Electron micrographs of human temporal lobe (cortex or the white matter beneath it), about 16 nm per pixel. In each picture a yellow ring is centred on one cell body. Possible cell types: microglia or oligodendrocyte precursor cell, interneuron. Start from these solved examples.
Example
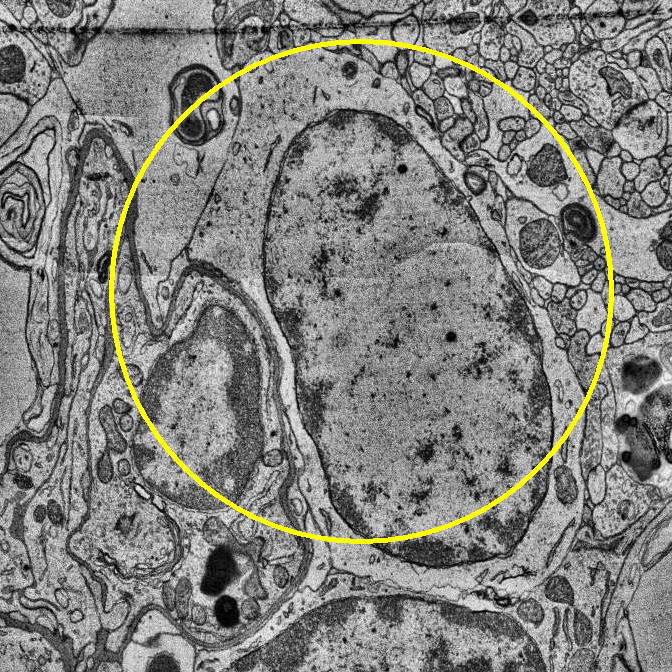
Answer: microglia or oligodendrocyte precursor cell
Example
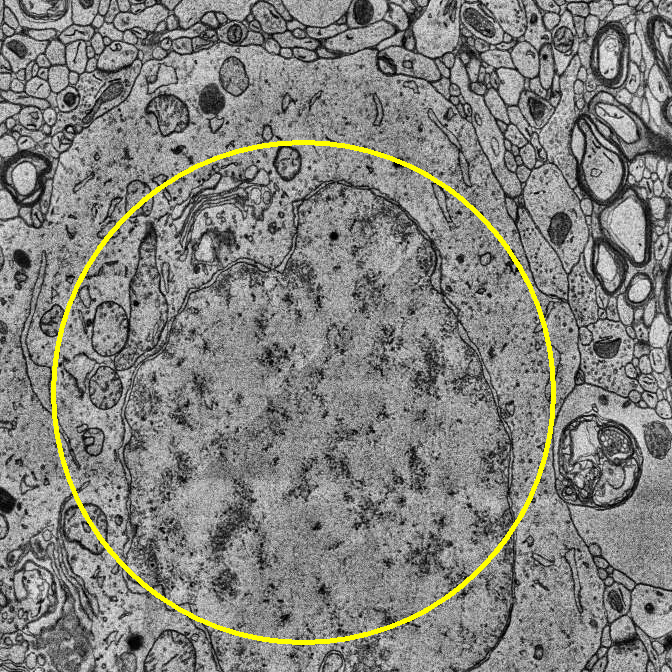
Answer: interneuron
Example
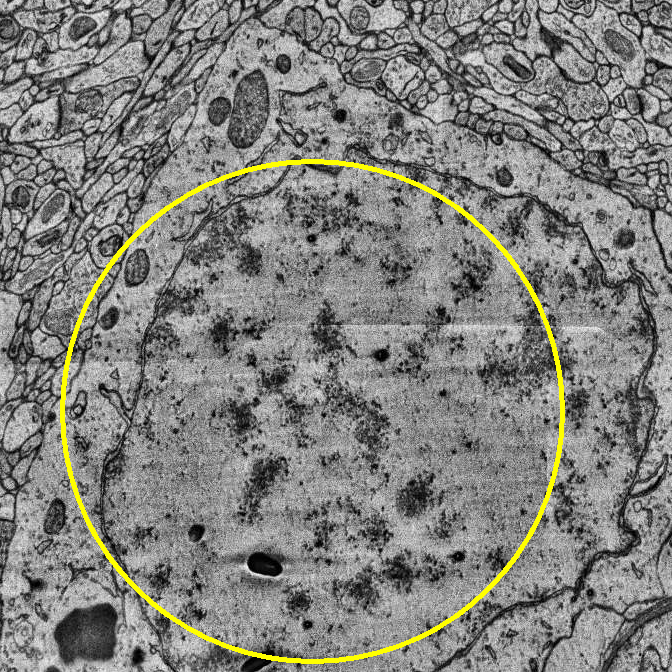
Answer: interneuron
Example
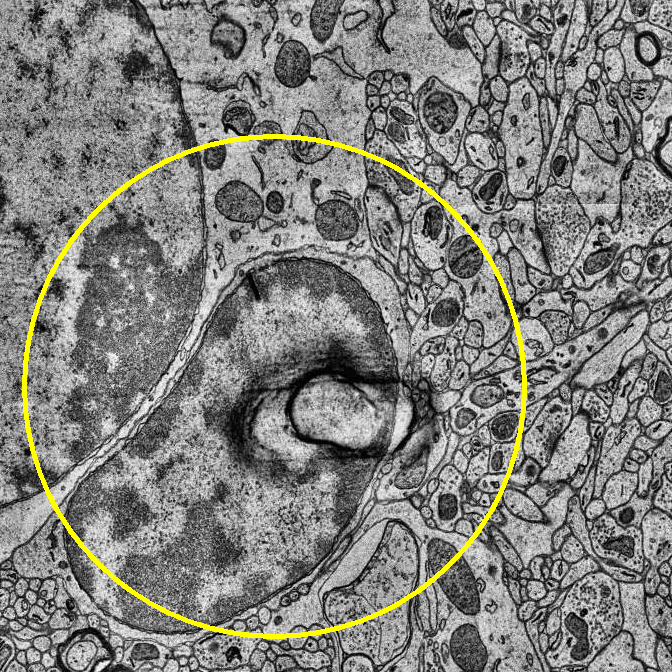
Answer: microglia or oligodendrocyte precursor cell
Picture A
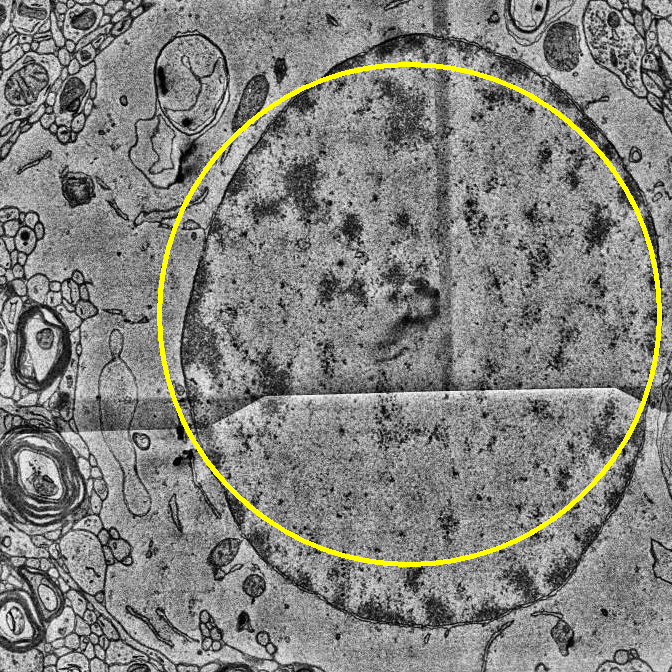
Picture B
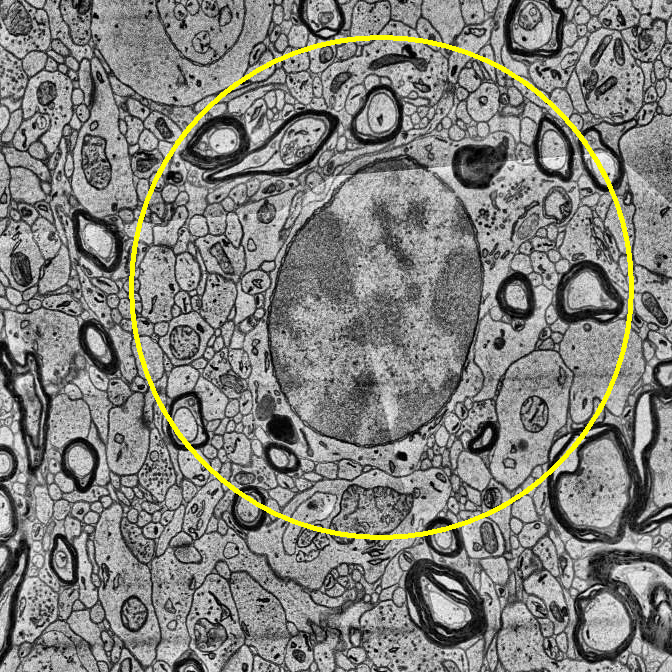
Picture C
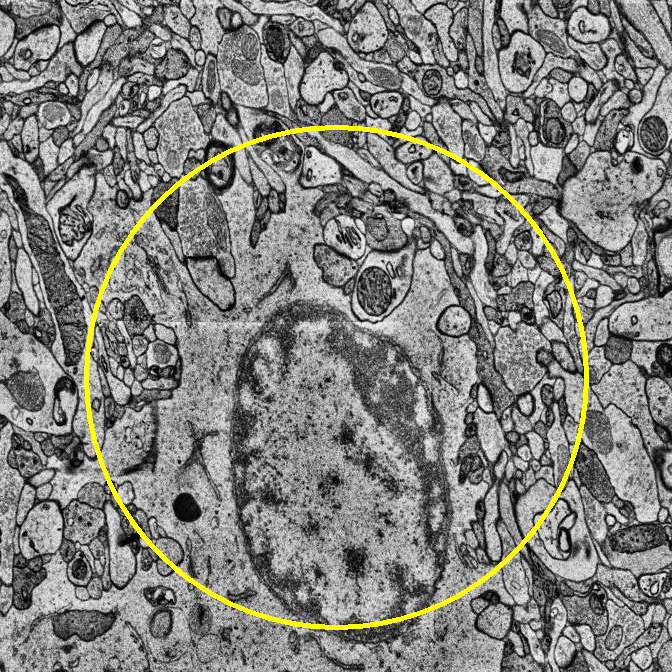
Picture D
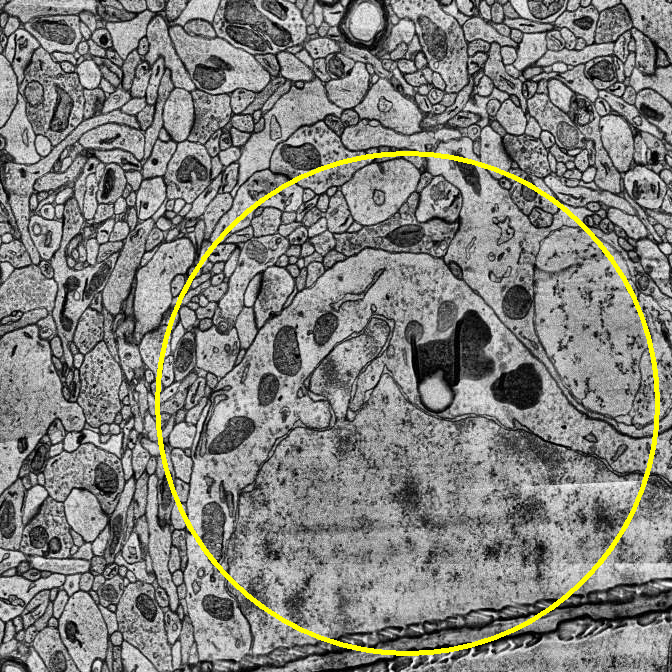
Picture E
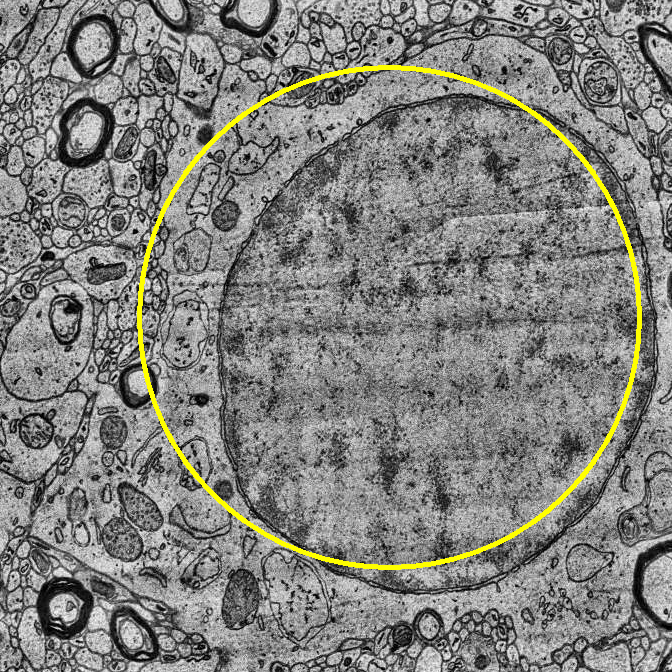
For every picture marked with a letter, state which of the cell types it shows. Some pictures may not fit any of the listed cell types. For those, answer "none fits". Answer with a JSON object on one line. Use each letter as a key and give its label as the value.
{"A": "none fits", "B": "microglia or oligodendrocyte precursor cell", "C": "none fits", "D": "interneuron", "E": "none fits"}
